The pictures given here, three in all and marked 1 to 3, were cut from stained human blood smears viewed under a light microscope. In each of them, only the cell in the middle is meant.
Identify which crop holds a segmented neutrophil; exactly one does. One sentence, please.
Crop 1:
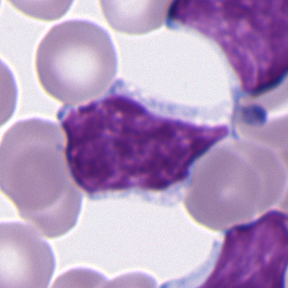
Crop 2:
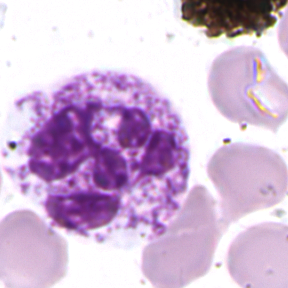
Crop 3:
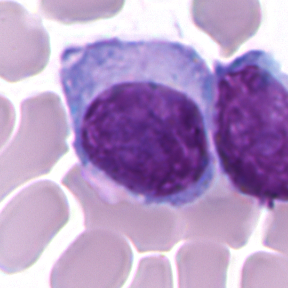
Of these crops, it is crop 2 that shows a segmented neutrophil.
